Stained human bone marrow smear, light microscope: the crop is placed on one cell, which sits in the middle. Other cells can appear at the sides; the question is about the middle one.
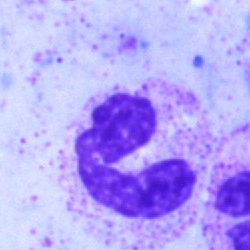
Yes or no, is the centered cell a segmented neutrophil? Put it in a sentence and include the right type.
No, mark the middle cell as a band neutrophil, not a segmented neutrophil.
